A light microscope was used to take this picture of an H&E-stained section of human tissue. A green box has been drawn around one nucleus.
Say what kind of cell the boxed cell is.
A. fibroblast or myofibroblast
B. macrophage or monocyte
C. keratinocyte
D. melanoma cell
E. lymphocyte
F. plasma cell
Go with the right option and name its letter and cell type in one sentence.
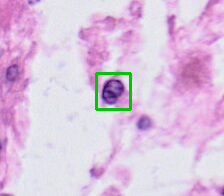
Option B is the right choice, for the boxed cell is a macrophage or monocyte.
